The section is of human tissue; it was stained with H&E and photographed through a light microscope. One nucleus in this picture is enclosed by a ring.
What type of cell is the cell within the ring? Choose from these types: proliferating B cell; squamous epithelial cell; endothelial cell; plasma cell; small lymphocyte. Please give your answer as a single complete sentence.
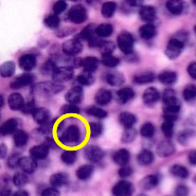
The category to which the cell within the ring belongs is that of a small lymphocyte.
